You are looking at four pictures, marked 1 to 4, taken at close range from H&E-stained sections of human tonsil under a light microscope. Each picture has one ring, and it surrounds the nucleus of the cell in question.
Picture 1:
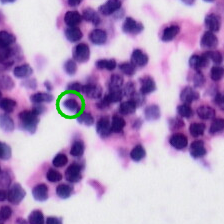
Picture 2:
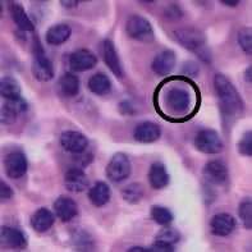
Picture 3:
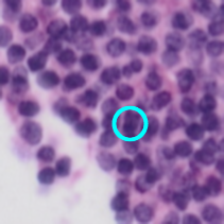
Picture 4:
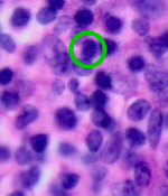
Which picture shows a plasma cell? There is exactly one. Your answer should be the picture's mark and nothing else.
2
